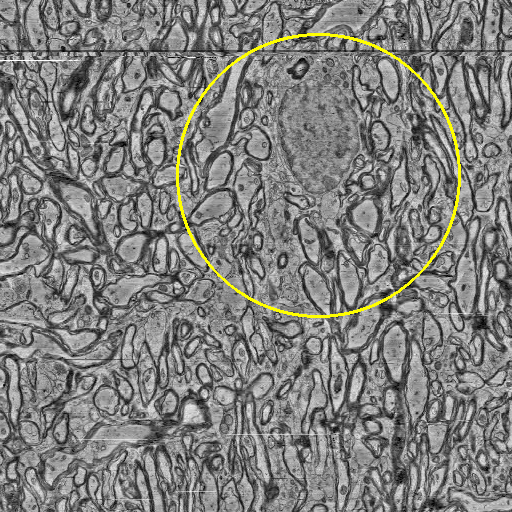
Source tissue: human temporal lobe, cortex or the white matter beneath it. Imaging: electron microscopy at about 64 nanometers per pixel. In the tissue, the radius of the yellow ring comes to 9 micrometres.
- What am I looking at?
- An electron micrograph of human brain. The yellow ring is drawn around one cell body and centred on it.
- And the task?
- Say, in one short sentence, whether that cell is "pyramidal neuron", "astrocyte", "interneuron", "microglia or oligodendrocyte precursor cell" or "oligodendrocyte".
The cell in the middle of the ring is an oligodendrocyte.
